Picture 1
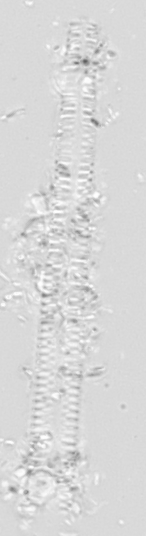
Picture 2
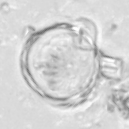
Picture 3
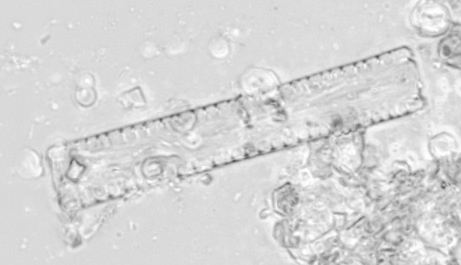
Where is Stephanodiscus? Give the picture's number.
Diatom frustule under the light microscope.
2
